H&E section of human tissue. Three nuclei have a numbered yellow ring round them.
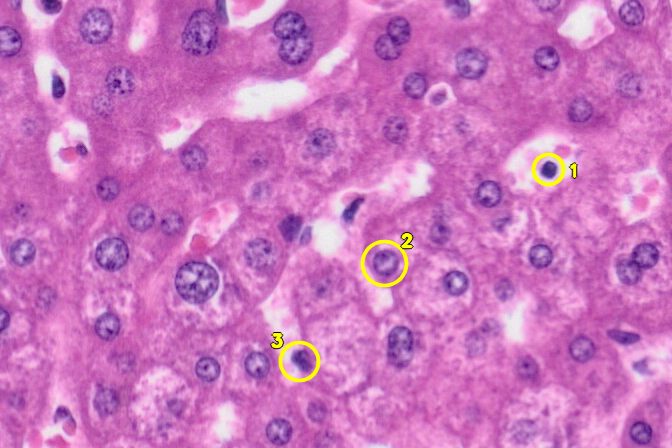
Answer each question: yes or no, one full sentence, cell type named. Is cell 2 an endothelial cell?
No, calling cell 2 an endothelial cell is incorrect; it is a hepatocyte.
